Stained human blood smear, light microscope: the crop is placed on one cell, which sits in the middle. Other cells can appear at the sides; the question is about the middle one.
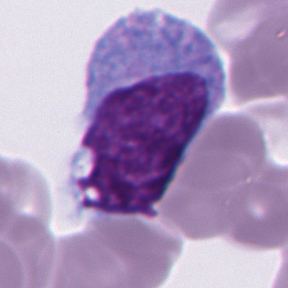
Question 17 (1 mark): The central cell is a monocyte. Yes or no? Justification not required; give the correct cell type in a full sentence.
Yes, the cell in the middle of the view is a monocyte.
